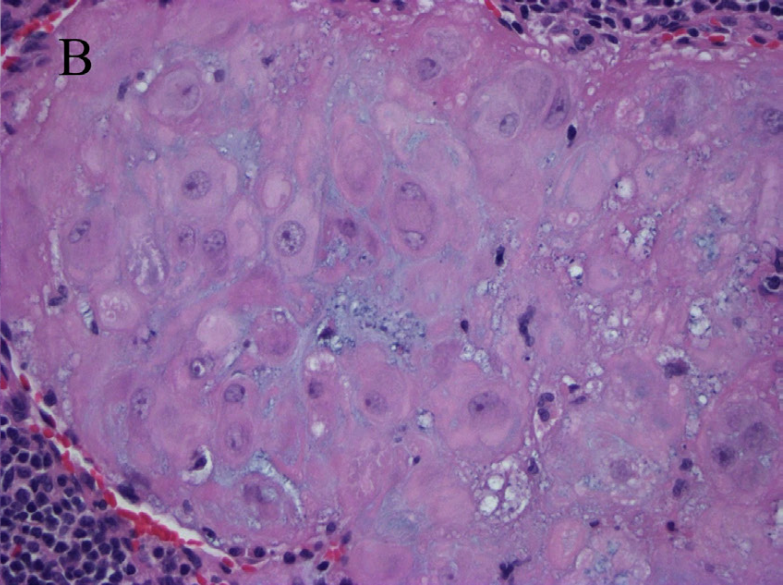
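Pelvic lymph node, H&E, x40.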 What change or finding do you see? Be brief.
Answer: Enlarged vesicular nuclei with prominent nucleoli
